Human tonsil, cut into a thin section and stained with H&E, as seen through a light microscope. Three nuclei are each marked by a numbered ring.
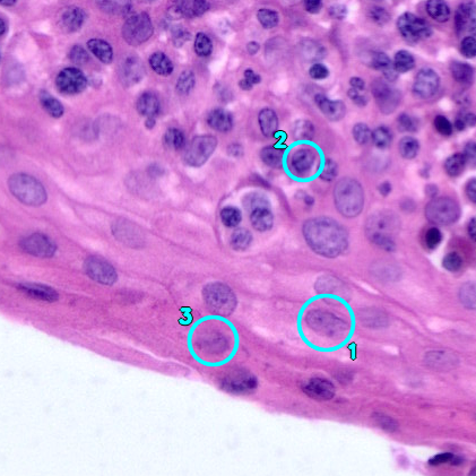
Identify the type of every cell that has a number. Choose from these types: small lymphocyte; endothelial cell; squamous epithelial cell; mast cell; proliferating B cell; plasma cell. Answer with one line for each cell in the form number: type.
1: squamous epithelial cell
2: plasma cell
3: squamous epithelial cell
